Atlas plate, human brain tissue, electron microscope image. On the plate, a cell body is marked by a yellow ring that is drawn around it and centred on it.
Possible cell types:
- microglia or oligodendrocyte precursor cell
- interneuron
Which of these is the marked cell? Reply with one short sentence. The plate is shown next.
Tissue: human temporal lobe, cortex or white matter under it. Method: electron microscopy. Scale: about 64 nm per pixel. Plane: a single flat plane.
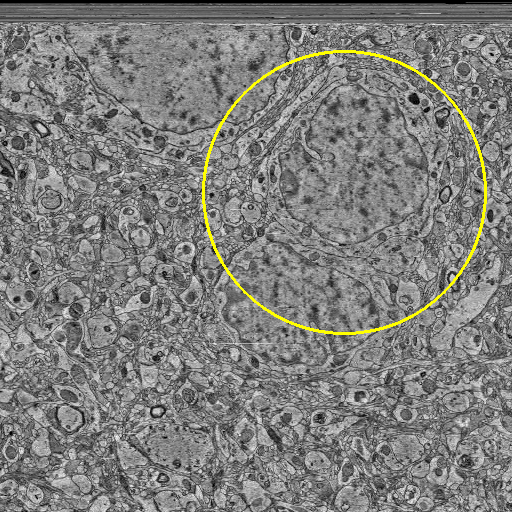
The marked cell is an interneuron.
